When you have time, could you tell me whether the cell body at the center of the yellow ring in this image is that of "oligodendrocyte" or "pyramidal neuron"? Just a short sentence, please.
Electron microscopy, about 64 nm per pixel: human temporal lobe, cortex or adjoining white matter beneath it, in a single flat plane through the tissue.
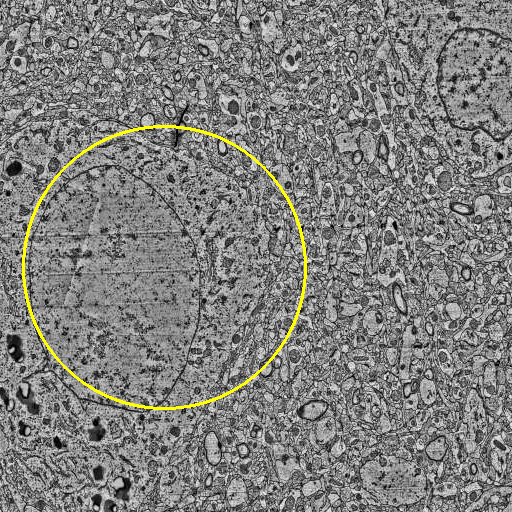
The cell body at the center of the ring is that of a pyramidal neuron.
